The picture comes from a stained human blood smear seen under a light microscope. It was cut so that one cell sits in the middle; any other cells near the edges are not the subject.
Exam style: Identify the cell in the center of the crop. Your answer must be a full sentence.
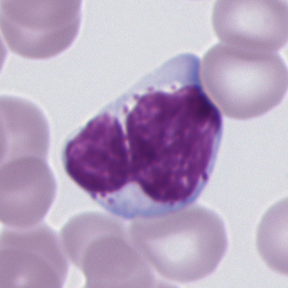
In the crop, the cell of interest at the centre is a large granular lymphocyte.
